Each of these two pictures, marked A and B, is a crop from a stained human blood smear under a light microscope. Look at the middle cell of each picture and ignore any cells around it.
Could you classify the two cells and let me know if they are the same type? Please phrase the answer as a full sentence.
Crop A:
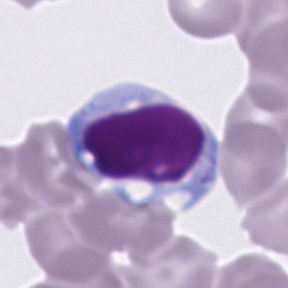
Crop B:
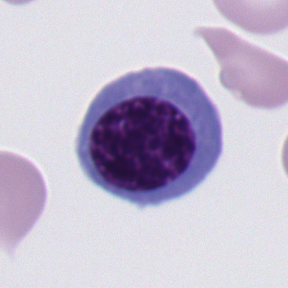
No, enter a typical lymphocyte for crop A and a normoblast for crop B.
